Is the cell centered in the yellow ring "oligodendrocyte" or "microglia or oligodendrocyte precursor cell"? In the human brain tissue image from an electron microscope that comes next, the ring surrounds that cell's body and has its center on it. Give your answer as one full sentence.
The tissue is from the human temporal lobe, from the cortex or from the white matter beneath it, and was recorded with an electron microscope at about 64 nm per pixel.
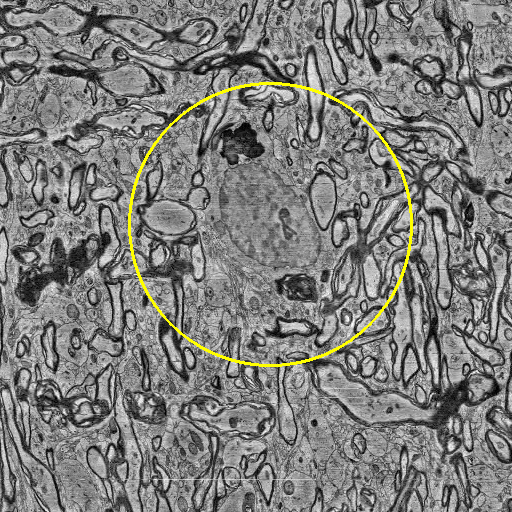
The cell at the center of the yellow ring is an oligodendrocyte in the micrograph.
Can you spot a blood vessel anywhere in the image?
No, there is none.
